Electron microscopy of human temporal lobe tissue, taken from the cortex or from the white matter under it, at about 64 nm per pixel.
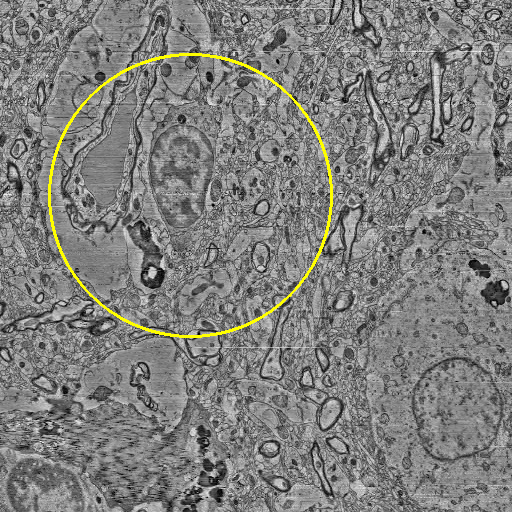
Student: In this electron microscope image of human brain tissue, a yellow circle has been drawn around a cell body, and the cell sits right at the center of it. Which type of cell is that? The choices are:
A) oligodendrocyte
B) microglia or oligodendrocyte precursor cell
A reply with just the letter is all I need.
A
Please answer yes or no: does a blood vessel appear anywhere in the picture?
Yes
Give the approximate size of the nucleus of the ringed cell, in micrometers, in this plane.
About 7 by 4 micrometres in this plane; clearly longer than it is wide.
